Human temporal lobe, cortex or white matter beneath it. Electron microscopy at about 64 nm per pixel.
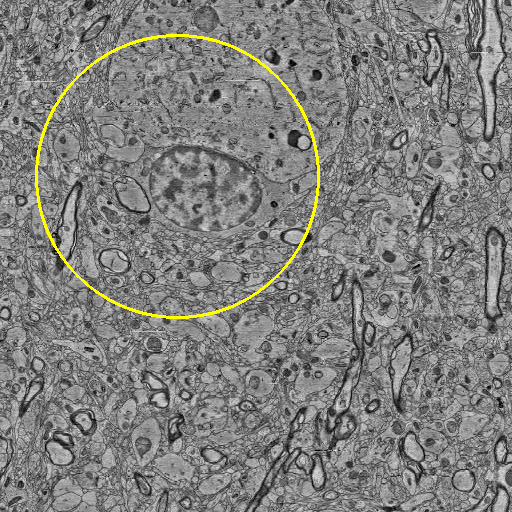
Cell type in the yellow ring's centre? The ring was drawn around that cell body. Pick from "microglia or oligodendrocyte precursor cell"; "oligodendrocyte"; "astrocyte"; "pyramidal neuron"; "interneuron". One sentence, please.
The ringed cell body is that of an oligodendrocyte.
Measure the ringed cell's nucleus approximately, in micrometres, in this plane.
Roughly 7 micrometres by 5 micrometres, in this plane.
